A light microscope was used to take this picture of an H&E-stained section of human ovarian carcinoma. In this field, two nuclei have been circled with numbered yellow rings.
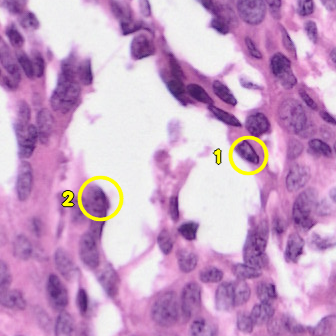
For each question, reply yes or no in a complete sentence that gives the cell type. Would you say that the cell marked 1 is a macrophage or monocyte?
Yes, the numbered cell 1 is identified as a macrophage or monocyte.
